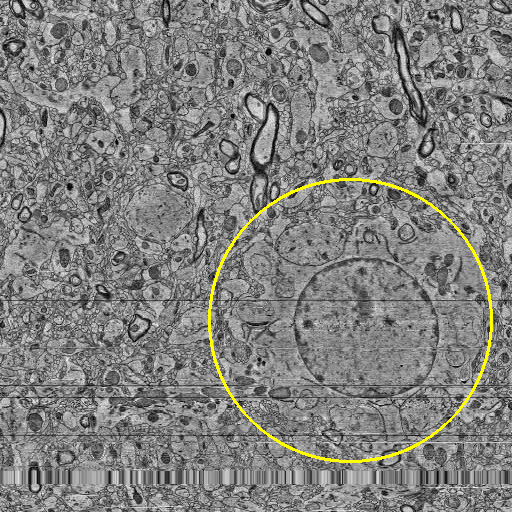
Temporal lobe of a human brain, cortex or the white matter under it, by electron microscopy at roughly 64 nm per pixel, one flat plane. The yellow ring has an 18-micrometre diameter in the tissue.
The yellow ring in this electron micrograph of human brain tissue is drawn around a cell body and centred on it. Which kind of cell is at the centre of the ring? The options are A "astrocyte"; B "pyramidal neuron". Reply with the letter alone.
A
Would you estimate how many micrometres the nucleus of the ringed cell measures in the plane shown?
In this plane, the nucleus of the cell at the centre of the ring is about 9 micrometres across.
